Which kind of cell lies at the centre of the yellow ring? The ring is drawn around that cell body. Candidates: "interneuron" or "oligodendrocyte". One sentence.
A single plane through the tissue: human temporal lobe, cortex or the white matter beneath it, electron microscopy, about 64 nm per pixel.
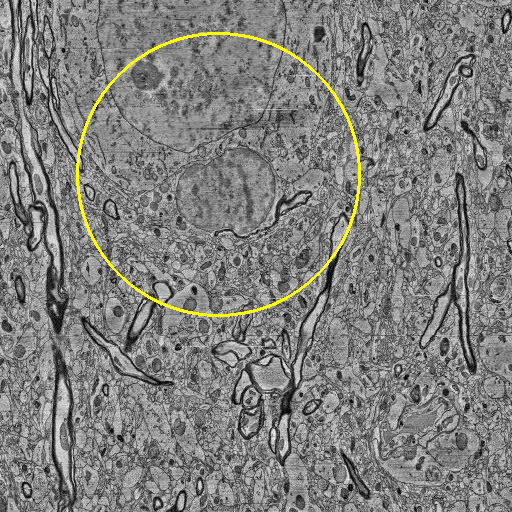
Lying at the centre of the ring is an oligodendrocyte.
